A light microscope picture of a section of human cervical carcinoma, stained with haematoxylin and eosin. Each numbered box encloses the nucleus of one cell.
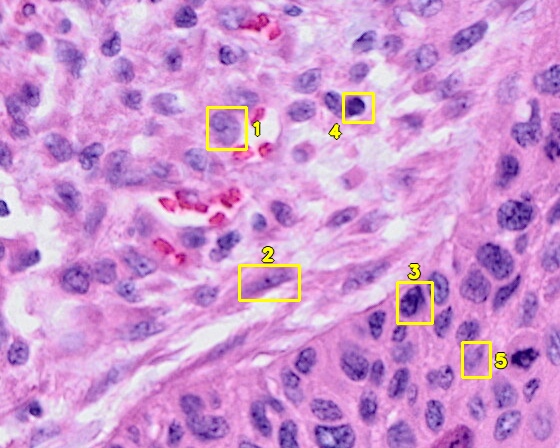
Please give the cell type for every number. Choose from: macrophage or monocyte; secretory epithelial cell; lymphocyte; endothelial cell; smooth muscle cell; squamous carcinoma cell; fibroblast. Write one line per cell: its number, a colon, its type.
1: endothelial cell
2: fibroblast
3: squamous carcinoma cell
4: lymphocyte
5: squamous carcinoma cell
